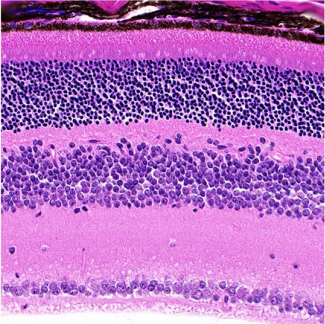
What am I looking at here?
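This is a cross-section of retina, with a thick outer nuclear layer of many rows of small, densely packed, dark purple photoreceptor nuclei lying just beneath the pink outer segment zone and the brown-black pigmented layer. Below it a pale pink plexiform band separates a second layer of larger, paler nuclei, then a wide pink fibrous band and a single sparse row of cells at the inner edge.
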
